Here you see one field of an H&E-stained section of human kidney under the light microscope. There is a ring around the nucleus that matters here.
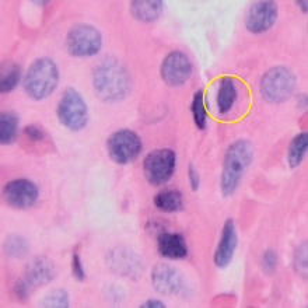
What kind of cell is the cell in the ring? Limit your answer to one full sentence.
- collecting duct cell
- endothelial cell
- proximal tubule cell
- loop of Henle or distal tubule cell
Placed in its cell category, the cell in the ring is a loop of Henle or distal tubule cell.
